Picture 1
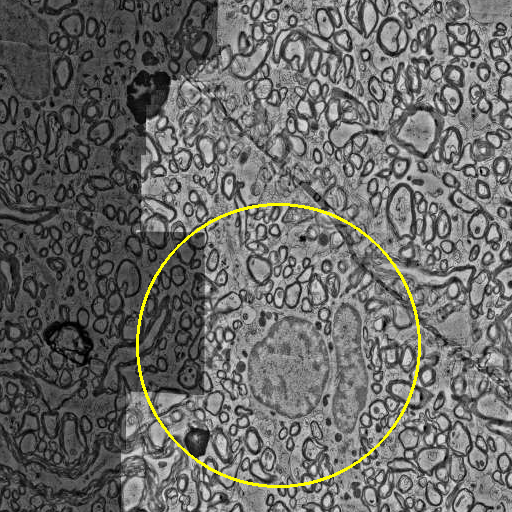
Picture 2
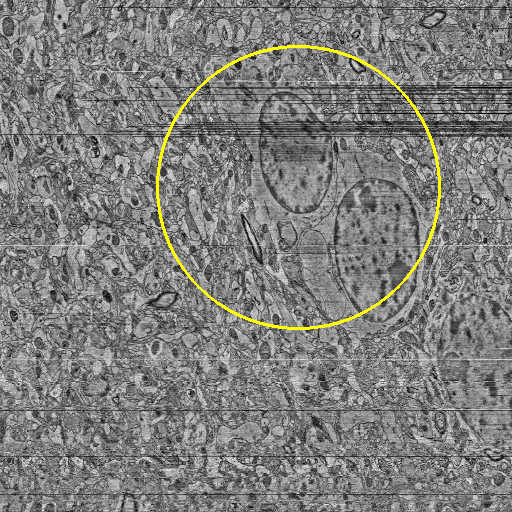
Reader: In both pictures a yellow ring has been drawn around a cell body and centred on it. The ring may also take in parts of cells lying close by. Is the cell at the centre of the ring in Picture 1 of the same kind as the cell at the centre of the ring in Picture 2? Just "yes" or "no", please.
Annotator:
no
